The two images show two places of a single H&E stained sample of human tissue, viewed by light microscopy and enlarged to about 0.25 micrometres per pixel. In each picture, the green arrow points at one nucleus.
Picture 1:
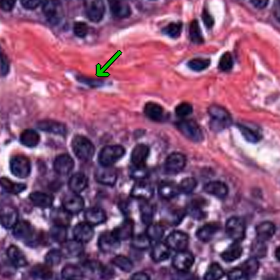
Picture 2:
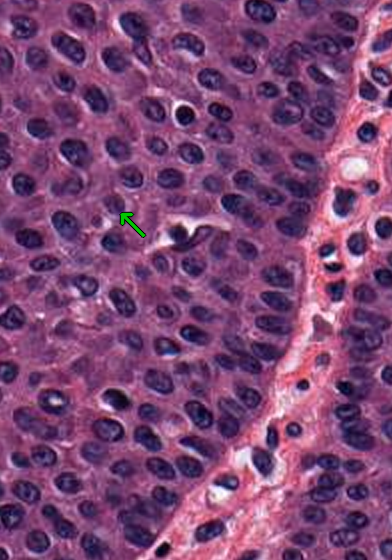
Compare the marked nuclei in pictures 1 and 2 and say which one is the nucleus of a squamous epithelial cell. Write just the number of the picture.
2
